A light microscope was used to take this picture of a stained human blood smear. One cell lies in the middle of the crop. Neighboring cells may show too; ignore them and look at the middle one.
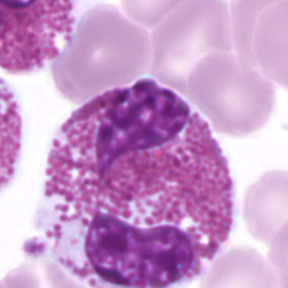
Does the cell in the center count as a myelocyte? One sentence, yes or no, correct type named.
No, it is not a myelocyte that lies in the middle but an eosinophil.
